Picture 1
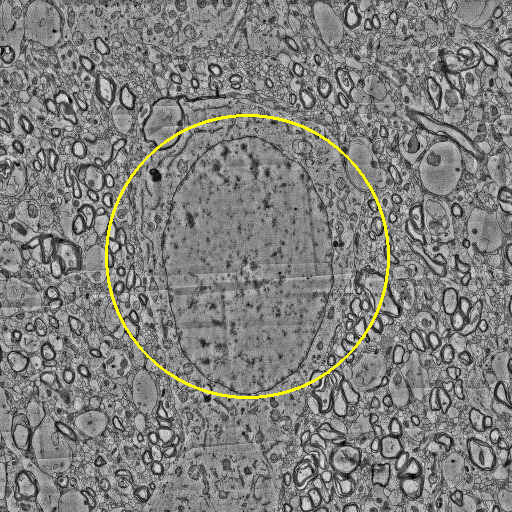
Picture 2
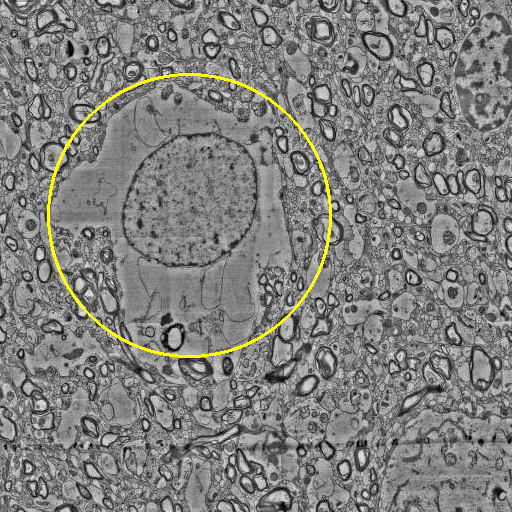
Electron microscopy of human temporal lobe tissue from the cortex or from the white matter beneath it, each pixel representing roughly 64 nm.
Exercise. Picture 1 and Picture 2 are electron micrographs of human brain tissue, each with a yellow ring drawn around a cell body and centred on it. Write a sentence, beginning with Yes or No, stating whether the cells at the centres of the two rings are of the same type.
No, the cells at the centres of the rings are of two types.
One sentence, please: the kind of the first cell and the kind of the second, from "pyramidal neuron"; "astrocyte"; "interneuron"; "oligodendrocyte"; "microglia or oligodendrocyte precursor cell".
The ring in the first picture surrounds a pyramidal neuron, and the ring in the second surrounds an astrocyte.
